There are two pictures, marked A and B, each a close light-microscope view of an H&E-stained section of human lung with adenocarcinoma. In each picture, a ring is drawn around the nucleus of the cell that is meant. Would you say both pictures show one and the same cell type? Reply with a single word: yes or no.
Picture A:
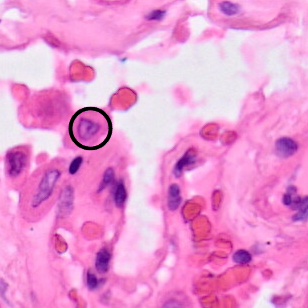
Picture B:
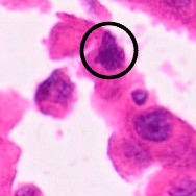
no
